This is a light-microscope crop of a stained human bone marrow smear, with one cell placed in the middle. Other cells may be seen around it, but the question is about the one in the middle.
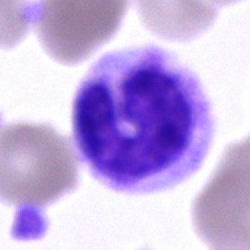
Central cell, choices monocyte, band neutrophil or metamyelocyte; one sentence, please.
Answering briefly, the cell in the middle is a band neutrophil.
